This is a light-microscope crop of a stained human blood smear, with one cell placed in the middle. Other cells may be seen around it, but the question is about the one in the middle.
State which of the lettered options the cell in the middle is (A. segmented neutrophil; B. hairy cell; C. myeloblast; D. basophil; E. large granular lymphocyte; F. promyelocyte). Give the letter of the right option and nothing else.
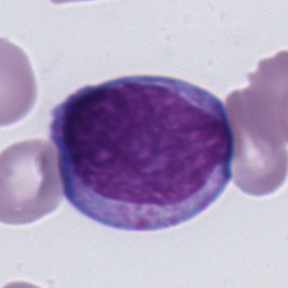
F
